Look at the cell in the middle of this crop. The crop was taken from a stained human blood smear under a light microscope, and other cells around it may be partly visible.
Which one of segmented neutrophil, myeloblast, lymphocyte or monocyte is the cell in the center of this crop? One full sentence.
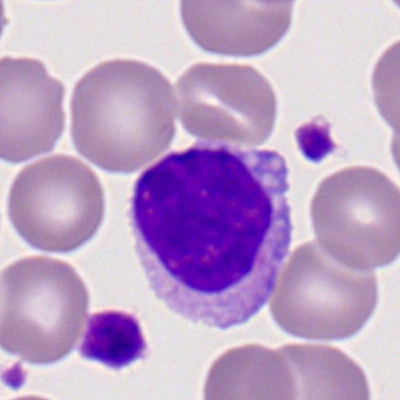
Answering briefly, the cell in the middle is a lymphocyte.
